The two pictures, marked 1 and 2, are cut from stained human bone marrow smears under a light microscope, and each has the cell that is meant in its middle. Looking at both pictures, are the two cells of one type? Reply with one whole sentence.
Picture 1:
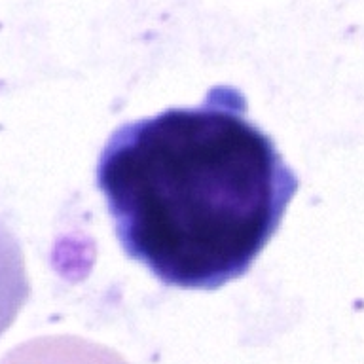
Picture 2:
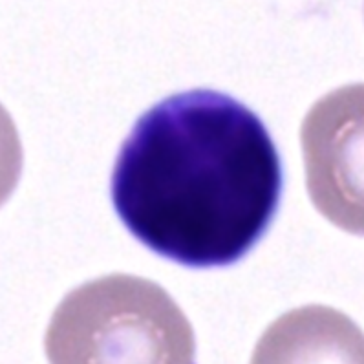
Yes, the two pictures both show lymphocytes.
